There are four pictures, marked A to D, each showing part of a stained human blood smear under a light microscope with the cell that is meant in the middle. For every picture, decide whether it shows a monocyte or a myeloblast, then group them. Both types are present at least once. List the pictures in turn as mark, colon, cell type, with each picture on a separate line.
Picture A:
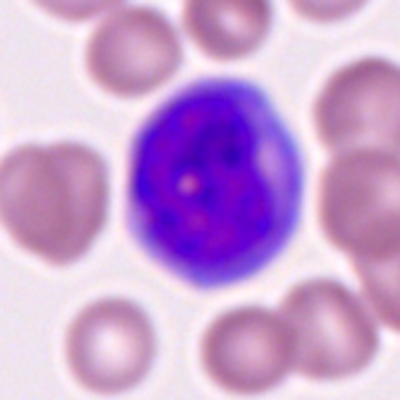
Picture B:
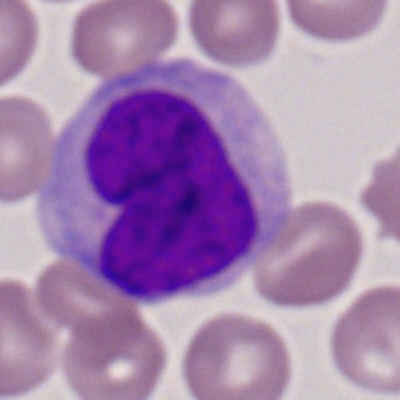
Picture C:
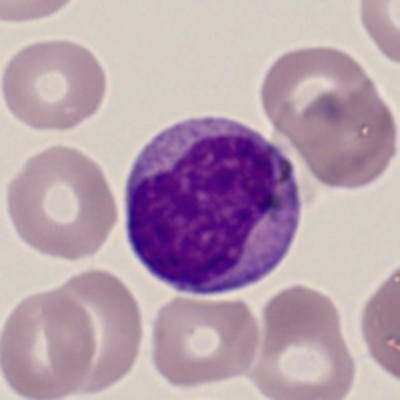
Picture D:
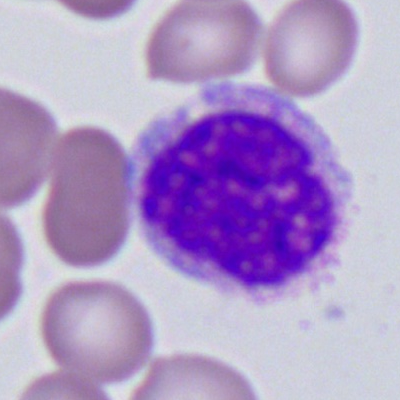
A: monocyte
B: monocyte
C: myeloblast
D: monocyte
